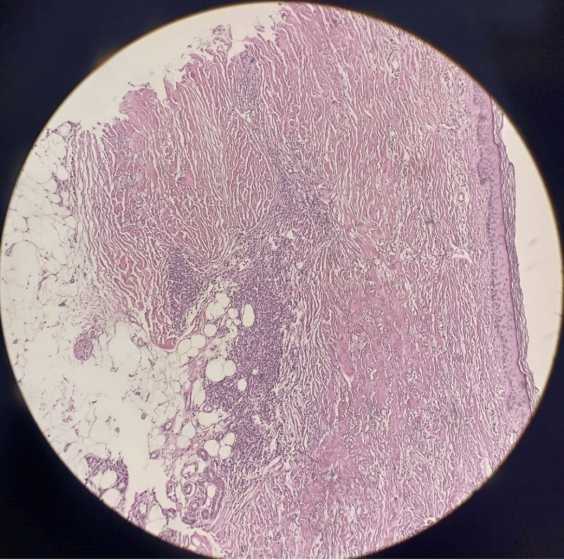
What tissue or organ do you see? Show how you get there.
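A thin stratified surface epithelium runs along the right edge. Beneath it lies a broad band of pink fibrous connective tissue. Clear rounded fat cells lie at the left, deep side.
Answer: skin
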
